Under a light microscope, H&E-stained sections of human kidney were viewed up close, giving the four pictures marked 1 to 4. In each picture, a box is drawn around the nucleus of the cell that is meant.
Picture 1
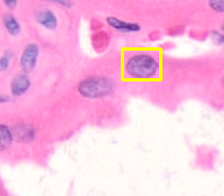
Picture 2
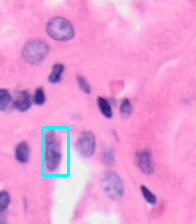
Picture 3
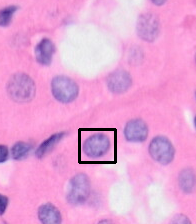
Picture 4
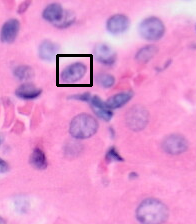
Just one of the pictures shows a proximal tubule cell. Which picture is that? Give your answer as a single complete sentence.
Picture 1 is the one that shows the proximal tubule cell.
